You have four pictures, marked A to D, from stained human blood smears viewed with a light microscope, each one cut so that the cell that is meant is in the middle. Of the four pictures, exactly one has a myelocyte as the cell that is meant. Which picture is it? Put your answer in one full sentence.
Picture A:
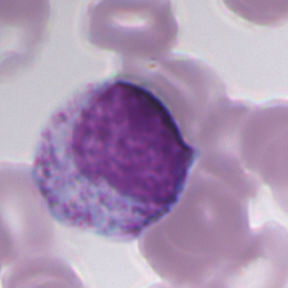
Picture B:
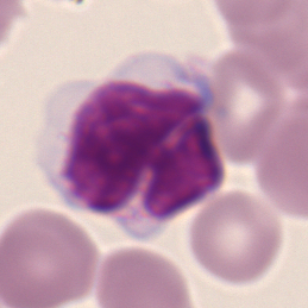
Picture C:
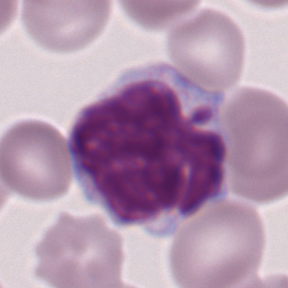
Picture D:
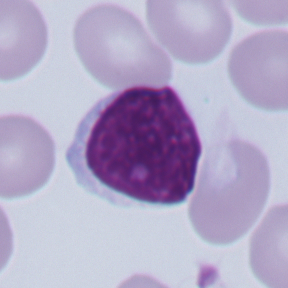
The cell in picture A is the myelocyte.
